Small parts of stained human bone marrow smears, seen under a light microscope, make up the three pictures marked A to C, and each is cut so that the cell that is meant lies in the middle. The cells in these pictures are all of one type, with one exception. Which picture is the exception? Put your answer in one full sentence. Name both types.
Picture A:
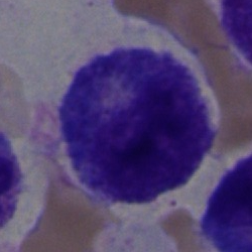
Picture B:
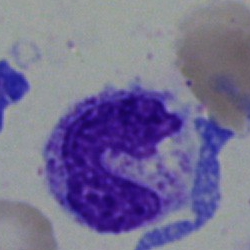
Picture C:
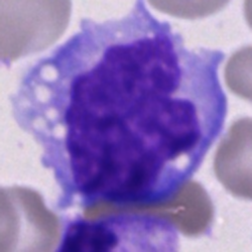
The different one is picture A; it shows a promyelocyte, whereas all the others show monocytes.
